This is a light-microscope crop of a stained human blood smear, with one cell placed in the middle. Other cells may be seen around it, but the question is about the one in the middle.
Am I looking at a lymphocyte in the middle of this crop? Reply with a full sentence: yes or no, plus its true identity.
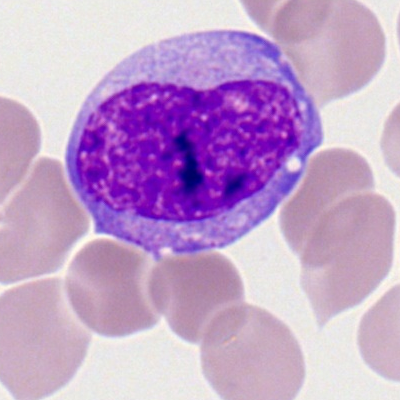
No, the cell at the centre of the crop is a monocyte and not a lymphocyte.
